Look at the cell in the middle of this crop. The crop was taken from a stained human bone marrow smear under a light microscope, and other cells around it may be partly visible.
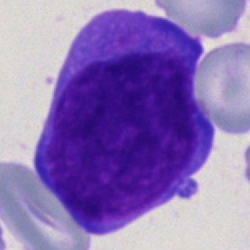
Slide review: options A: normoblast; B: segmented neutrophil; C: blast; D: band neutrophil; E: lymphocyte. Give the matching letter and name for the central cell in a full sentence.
Well, the cell in the middle is a blast, making option C right.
